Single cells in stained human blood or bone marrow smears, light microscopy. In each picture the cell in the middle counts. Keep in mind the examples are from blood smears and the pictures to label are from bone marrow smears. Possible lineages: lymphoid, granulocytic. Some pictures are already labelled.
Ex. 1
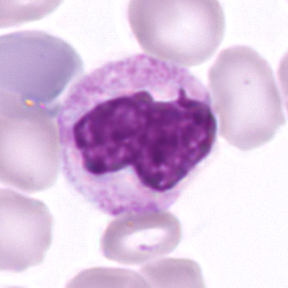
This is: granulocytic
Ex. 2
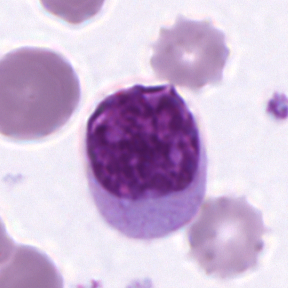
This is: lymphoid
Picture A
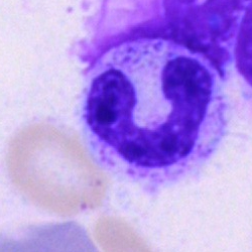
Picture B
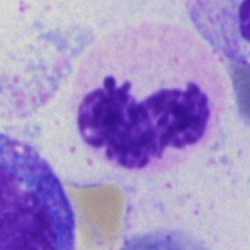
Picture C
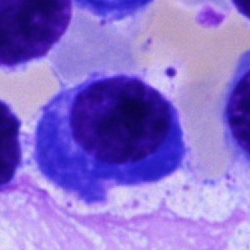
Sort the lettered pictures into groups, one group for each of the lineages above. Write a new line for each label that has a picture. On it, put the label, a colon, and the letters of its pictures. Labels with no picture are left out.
lymphoid: C
granulocytic: A, B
